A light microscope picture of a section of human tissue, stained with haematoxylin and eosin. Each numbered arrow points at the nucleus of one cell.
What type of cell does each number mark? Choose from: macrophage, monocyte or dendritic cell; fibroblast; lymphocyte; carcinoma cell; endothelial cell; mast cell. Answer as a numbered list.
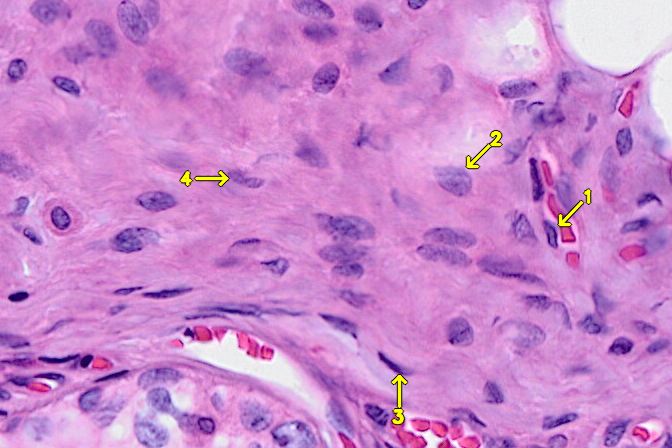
1. endothelial cell
2. fibroblast
3. fibroblast
4. fibroblast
